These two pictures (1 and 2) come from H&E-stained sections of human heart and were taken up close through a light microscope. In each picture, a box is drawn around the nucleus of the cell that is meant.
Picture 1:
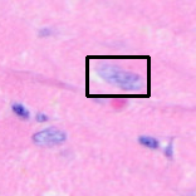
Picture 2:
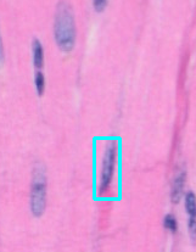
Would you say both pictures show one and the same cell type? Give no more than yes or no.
no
